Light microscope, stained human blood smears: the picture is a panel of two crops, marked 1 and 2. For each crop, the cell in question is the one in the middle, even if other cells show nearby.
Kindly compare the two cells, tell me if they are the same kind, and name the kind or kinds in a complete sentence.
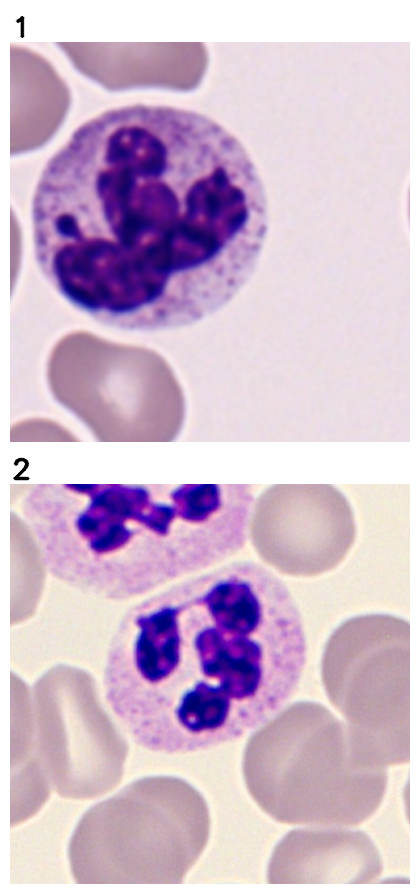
Yes, both crops show segmented neutrophils, to put it briefly.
